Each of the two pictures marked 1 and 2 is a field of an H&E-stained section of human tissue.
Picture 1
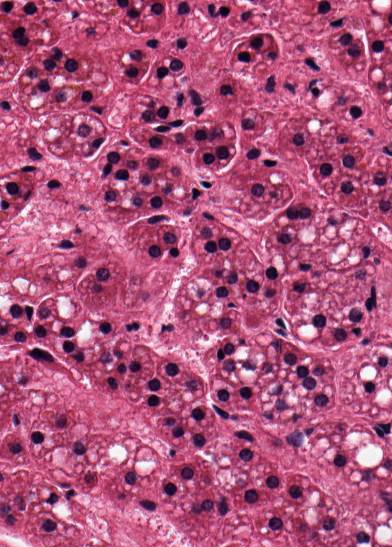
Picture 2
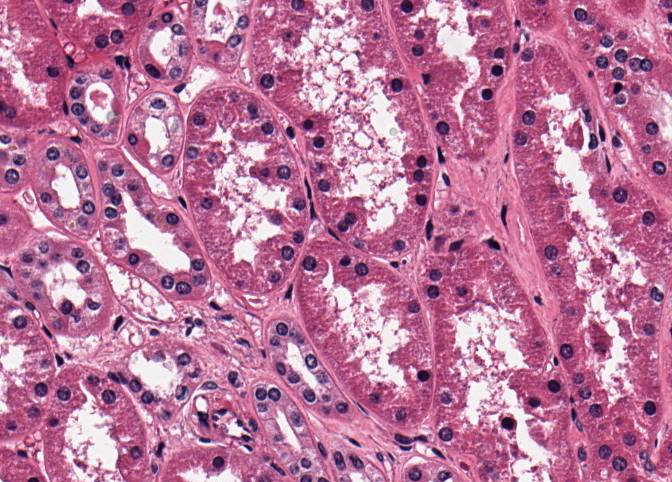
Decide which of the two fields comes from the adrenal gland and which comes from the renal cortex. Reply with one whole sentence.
Picture 2 comes from the renal cortex, while picture 1 comes from the adrenal gland.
